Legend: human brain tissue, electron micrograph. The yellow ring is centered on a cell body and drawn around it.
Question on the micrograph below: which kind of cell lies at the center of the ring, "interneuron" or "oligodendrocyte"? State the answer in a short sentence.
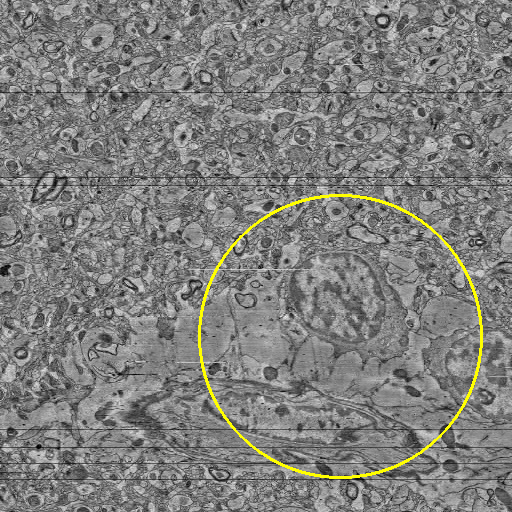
At the center of the ring lies an oligodendrocyte.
